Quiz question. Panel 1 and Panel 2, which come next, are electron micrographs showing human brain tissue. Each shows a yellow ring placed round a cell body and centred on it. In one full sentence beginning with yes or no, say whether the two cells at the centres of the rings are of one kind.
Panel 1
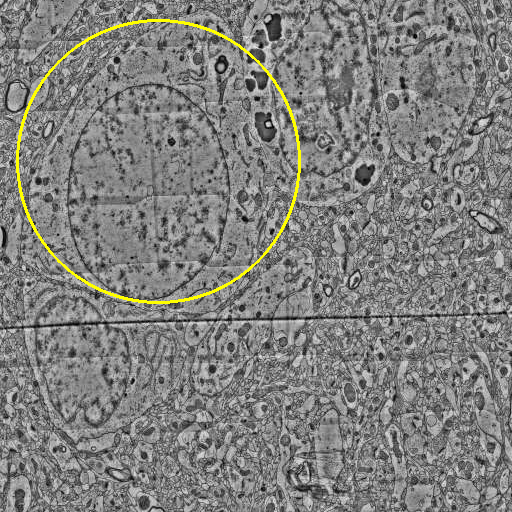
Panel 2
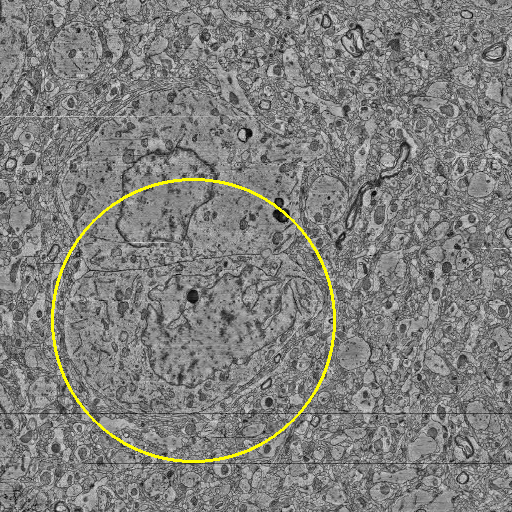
No, Panel 1 and Panel 2 show two kinds of cell at the centre of the ring.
